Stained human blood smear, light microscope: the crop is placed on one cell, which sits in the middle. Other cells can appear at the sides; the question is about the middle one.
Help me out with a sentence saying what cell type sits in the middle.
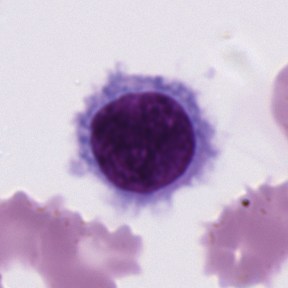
The centrally positioned cell in the crop represents a hairy cell.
